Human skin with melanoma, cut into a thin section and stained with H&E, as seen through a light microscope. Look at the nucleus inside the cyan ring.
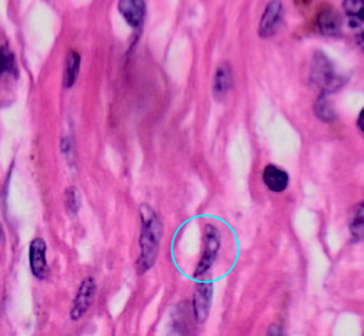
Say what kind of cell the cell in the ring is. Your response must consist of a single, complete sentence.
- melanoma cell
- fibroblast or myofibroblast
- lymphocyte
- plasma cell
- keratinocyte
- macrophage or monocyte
In the tissue at hand, the cell in the ring is a macrophage or monocyte.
